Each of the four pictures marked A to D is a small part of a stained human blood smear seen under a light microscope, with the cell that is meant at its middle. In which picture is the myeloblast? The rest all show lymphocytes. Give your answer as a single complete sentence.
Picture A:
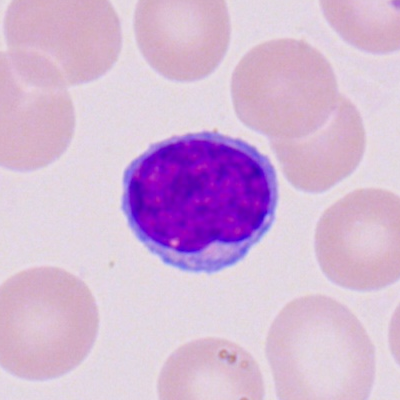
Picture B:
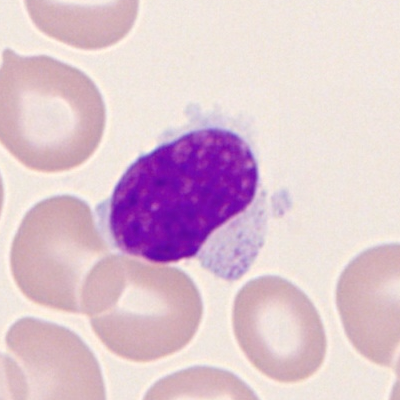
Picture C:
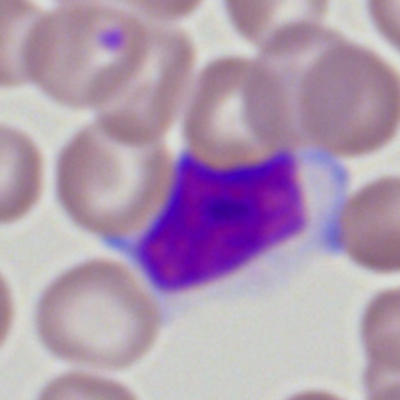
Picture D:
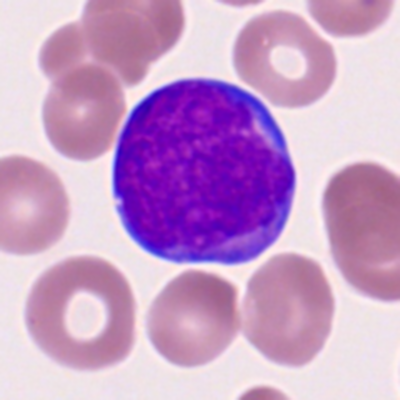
Picture D shows the myeloblast.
